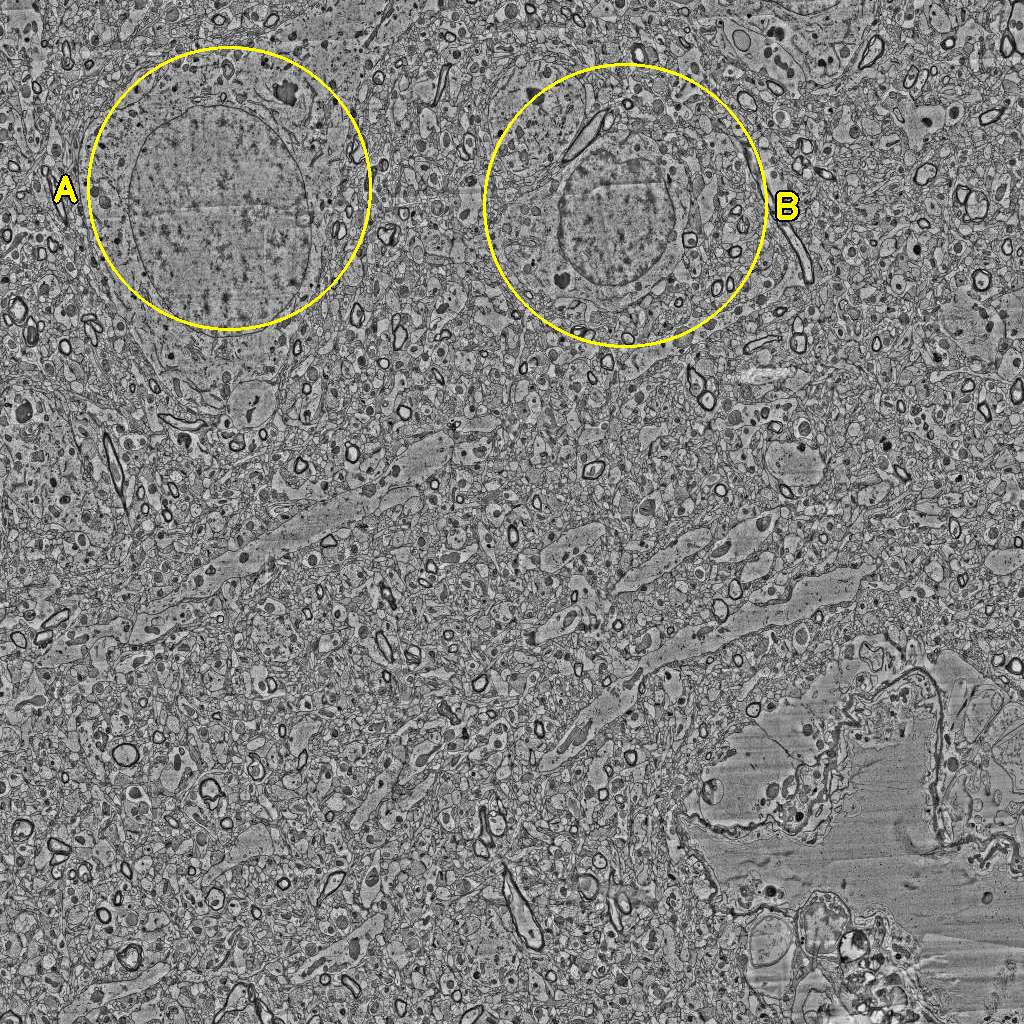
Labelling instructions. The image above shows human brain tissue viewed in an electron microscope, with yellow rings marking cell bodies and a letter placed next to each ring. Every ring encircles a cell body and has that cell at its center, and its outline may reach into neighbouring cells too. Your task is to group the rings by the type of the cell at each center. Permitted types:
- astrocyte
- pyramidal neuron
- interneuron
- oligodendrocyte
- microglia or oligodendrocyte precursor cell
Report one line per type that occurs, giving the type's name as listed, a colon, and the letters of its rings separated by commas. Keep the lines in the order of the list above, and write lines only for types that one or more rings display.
pyramidal neuron: A
interneuron: B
